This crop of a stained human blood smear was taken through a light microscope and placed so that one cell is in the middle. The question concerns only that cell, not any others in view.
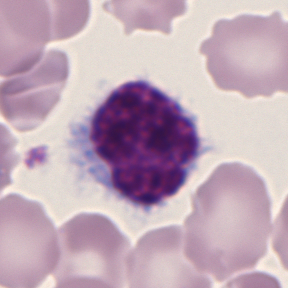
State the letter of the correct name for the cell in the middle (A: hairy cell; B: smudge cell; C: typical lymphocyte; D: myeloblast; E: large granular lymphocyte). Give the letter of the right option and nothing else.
A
